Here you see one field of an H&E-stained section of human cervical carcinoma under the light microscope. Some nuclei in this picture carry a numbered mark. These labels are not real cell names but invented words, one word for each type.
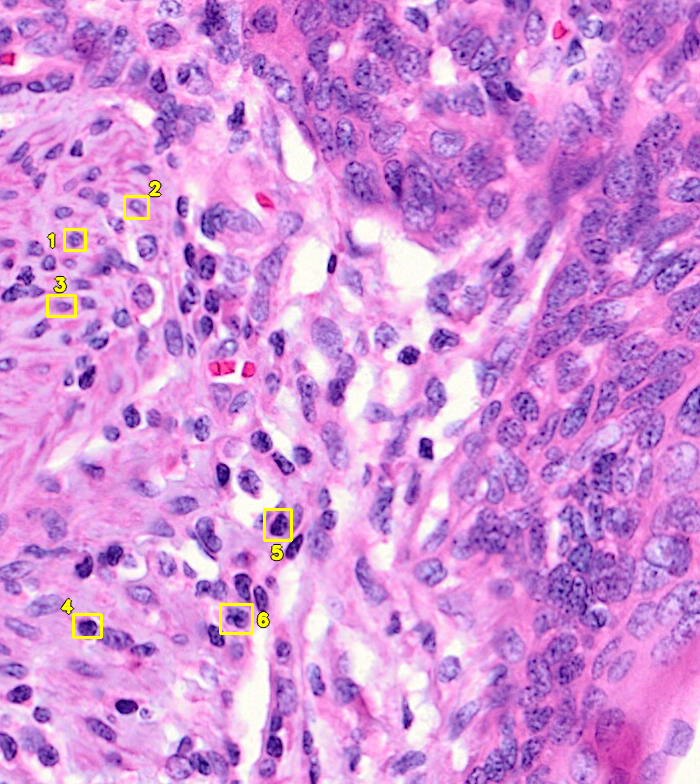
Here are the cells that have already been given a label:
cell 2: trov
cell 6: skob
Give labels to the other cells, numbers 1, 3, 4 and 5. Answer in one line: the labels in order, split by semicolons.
trov; trov; skob; skob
